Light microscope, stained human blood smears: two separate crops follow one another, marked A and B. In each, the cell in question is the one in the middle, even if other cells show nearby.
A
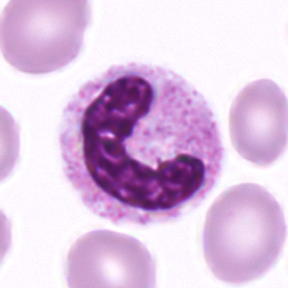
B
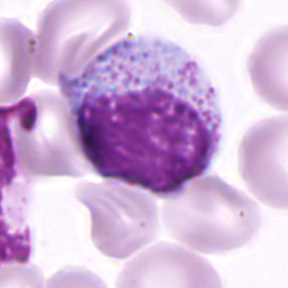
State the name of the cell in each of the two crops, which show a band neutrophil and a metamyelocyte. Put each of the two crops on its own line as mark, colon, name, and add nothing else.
A: band neutrophil
B: metamyelocyte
